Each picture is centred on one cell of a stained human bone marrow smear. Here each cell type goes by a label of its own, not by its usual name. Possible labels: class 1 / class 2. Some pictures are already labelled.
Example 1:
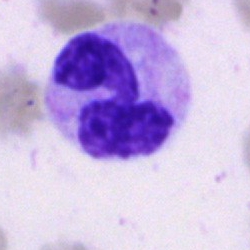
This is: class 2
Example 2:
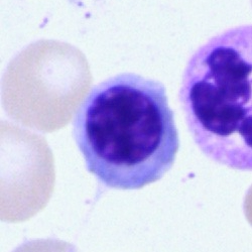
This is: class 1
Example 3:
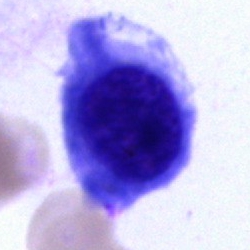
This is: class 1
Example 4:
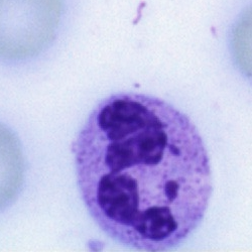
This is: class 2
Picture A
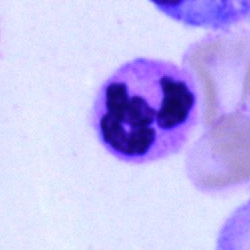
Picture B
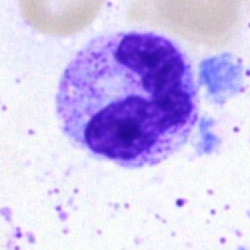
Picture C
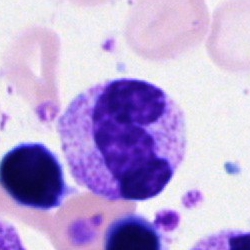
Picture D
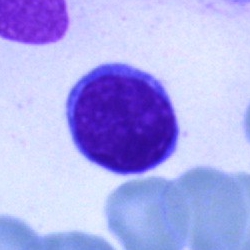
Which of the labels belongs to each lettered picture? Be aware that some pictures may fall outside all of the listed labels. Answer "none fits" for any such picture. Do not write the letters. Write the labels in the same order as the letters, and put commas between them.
class 2, class 2, class 2, none fits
